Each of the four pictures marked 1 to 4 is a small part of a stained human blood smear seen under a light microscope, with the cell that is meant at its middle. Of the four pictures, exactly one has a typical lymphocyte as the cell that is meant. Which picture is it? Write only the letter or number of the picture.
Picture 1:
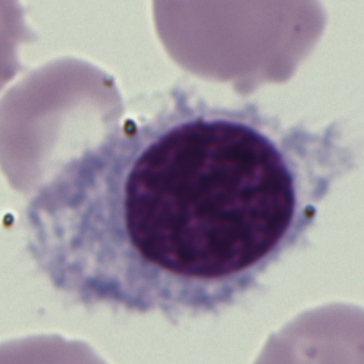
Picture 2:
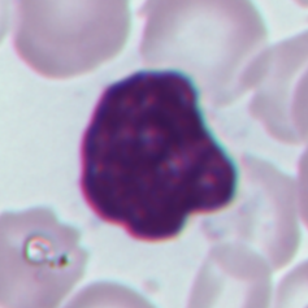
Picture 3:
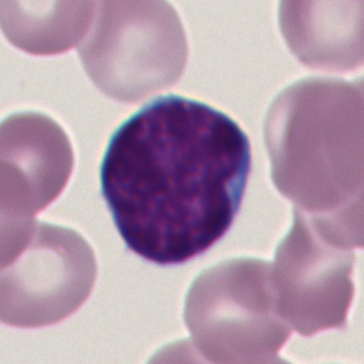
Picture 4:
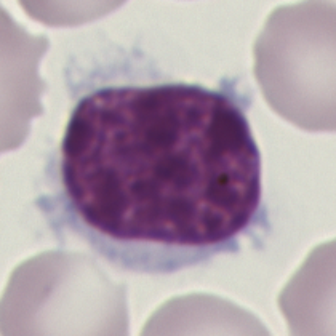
3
